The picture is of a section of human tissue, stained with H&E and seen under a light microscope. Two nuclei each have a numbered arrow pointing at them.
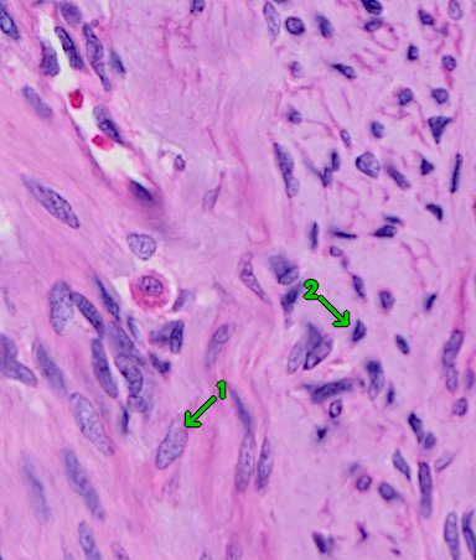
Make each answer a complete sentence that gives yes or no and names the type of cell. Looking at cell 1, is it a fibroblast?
No, the cell bearing the number 1 is a smooth muscle cell, not a fibroblast.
